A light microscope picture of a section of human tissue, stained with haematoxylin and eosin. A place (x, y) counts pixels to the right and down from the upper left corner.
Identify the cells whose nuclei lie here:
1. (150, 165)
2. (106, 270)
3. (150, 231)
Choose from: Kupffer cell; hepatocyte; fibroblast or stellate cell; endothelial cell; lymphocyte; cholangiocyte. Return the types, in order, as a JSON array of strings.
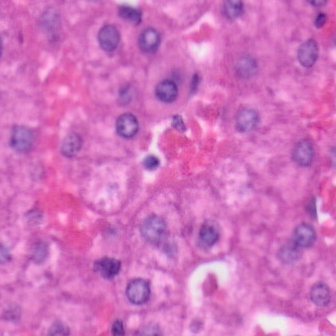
["lymphocyte", "fibroblast or stellate cell", "hepatocyte"]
